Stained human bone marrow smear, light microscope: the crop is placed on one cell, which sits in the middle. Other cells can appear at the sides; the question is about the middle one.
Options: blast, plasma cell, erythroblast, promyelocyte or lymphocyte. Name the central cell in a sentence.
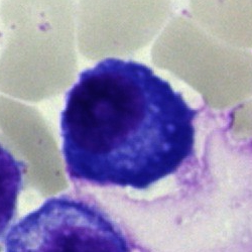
The cell at the central position in this crop is a plasma cell.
